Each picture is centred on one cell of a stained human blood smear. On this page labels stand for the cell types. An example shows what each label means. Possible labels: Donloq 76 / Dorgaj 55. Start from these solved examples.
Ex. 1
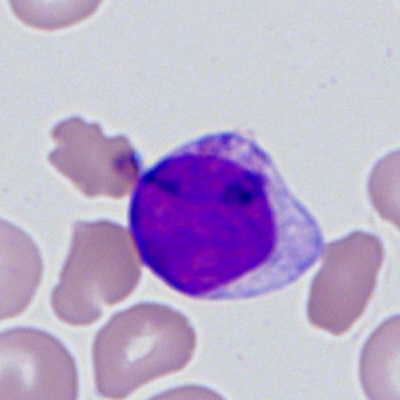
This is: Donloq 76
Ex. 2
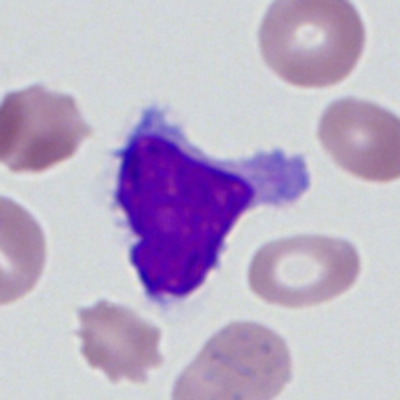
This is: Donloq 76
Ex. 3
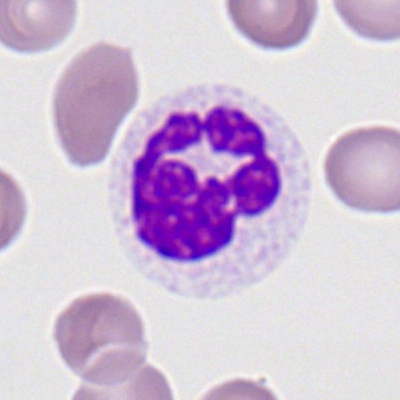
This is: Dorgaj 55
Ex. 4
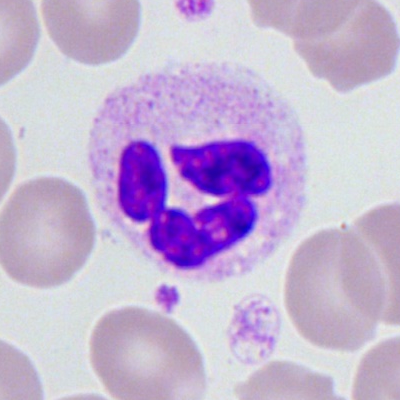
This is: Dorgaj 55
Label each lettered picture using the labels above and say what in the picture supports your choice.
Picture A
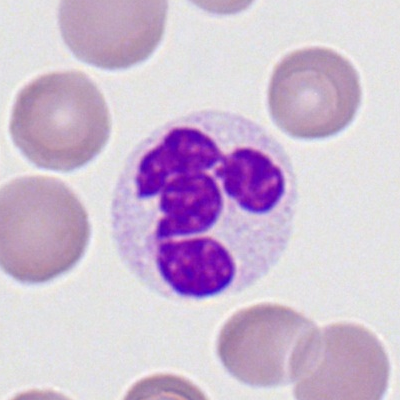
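Answer: Dorgaj 55. The nucleus is divided into several separate lobes.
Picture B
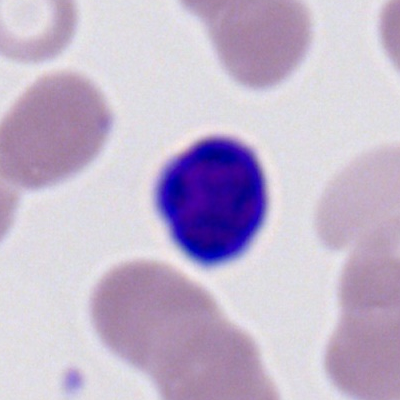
Answer: Donloq 76. The cytoplasm is scant, showing at most as a thin rim around the nucleus.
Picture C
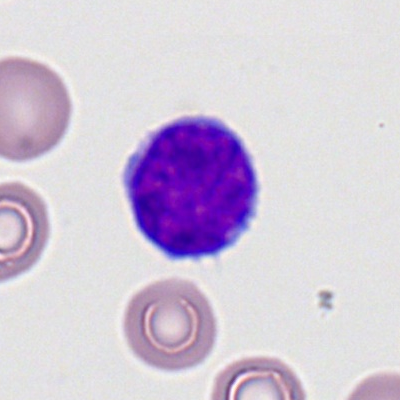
Answer: Donloq 76. Only a very thin rim of cytoplasm is visible around the nucleus.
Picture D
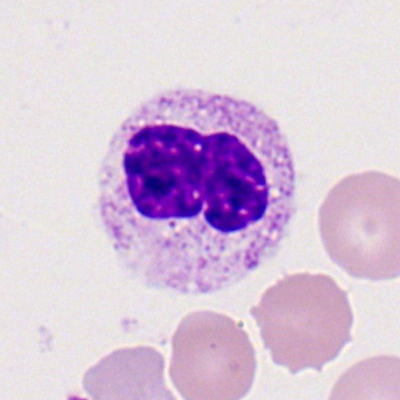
Answer: Dorgaj 55. The cytoplasm forms a wide rim all around the nucleus.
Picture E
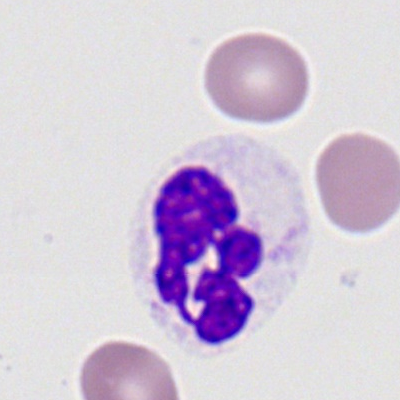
Answer: Dorgaj 55. The cytoplasm is abundant and pale pinkish-lilac.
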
